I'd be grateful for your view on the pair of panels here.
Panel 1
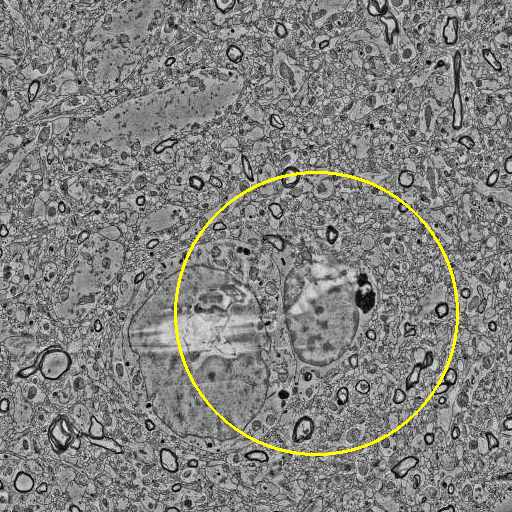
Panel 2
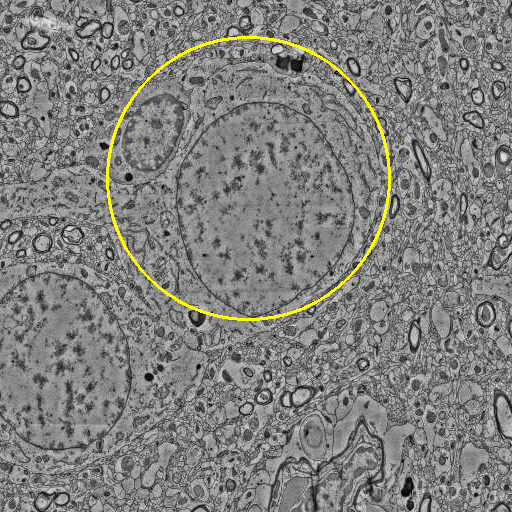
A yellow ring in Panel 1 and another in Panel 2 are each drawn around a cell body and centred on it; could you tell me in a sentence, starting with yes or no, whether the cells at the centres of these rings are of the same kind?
No, they are two kinds of cell.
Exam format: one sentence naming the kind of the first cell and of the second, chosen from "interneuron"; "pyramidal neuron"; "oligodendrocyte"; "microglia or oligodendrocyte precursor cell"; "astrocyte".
The first picture's cell is an oligodendrocyte, and the second picture's cell is a pyramidal neuron.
